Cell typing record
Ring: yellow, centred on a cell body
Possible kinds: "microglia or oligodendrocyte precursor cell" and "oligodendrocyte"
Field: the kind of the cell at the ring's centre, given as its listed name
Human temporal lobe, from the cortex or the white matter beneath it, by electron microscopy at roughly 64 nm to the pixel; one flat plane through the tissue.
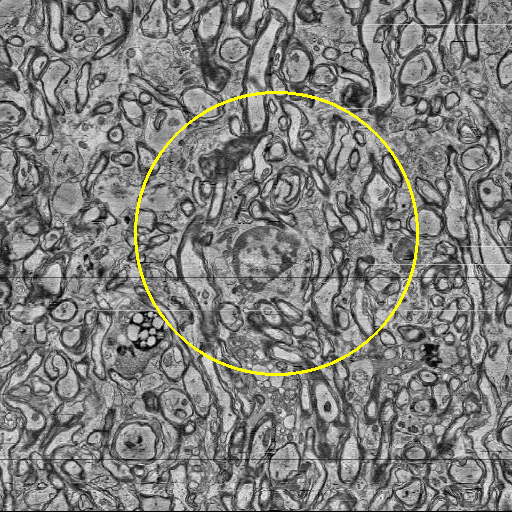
microglia or oligodendrocyte precursor cell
